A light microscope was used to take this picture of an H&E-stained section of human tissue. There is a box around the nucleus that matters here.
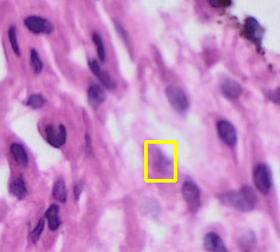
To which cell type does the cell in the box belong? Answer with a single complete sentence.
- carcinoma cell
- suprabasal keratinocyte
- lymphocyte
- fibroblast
As a matter of cell type, the cell in the box is a fibroblast.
